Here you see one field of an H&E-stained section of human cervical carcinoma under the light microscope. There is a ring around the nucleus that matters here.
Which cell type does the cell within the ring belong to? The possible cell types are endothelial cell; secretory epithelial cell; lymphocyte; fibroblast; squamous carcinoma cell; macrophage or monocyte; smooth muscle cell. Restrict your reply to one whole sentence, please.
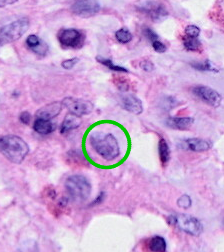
The cell type of the cell within the ring is that of a macrophage or monocyte.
